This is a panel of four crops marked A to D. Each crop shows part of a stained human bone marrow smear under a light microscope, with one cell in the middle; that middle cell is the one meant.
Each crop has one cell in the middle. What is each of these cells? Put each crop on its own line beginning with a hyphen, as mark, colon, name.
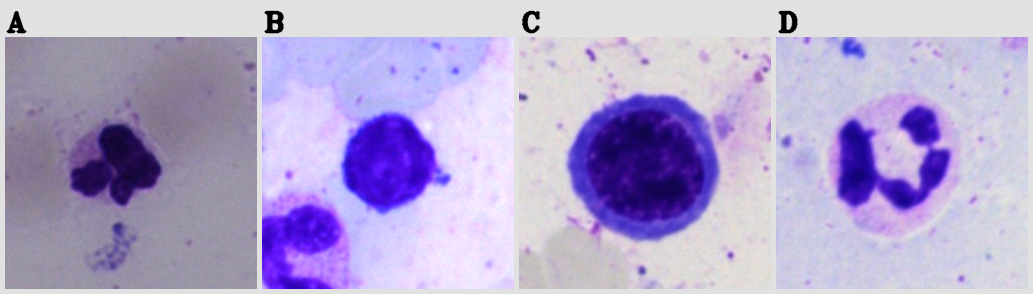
- A: neutrophil
- B: lymphocyte
- C: normoblast
- D: neutrophil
